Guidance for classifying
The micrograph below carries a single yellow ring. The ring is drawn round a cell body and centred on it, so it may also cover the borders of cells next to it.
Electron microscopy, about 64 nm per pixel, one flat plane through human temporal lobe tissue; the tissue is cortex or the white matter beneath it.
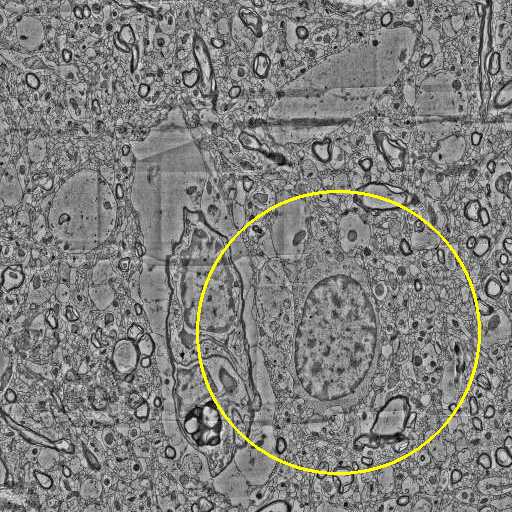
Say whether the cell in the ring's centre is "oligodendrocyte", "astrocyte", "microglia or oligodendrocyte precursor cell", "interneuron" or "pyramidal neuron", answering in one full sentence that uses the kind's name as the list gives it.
Within the yellow ring, an oligodendrocyte is the cell whose body sits at the centre.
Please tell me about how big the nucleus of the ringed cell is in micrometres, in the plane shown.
The nucleus measures about 8 by 5 micrometres, so it is clearly longer than it is wide in this plane.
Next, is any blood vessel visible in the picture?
Yes, a blood vessel shows in the picture.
